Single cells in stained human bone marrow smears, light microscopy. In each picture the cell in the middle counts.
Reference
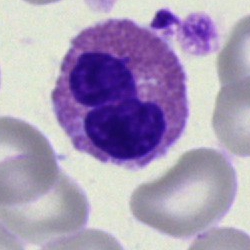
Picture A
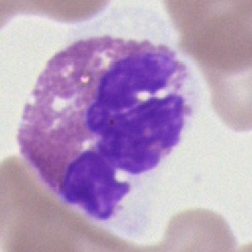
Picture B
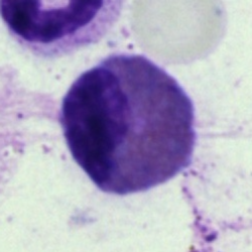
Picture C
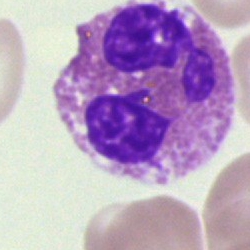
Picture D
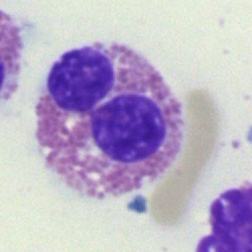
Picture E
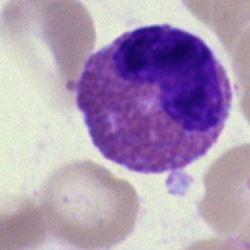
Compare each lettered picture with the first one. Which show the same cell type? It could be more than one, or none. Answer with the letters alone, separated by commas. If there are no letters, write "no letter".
A, B, C, D, E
